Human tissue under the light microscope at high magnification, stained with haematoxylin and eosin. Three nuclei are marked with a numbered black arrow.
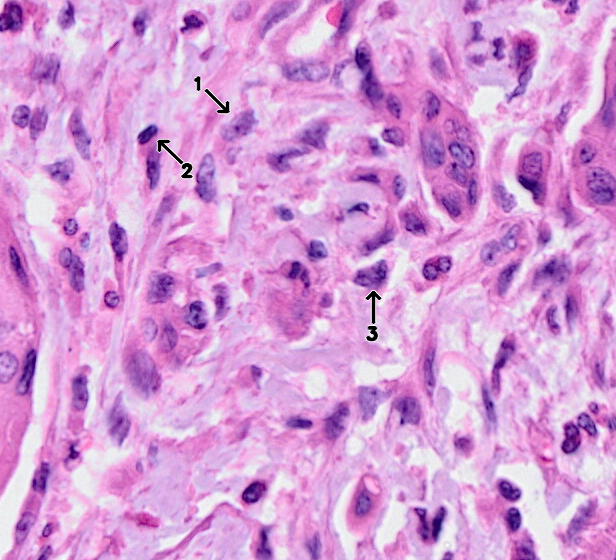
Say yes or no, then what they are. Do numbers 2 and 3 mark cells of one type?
No, cell 2 should be called a lymphocyte, and cell 3 should be called a macrophage or monocyte.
